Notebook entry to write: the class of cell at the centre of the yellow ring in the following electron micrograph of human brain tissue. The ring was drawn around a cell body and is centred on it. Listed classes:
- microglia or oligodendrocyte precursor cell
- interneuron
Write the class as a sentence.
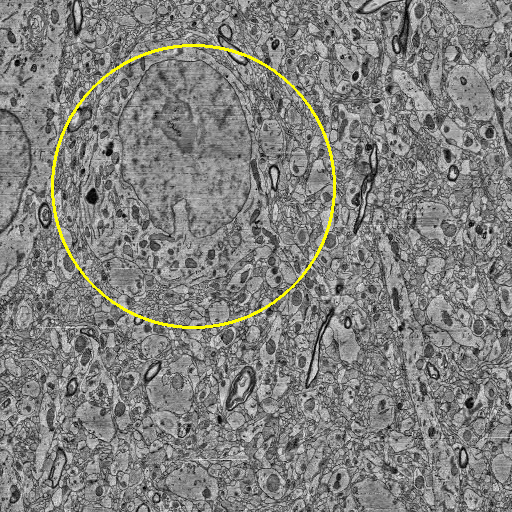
The yellow ring sits on an interneuron.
